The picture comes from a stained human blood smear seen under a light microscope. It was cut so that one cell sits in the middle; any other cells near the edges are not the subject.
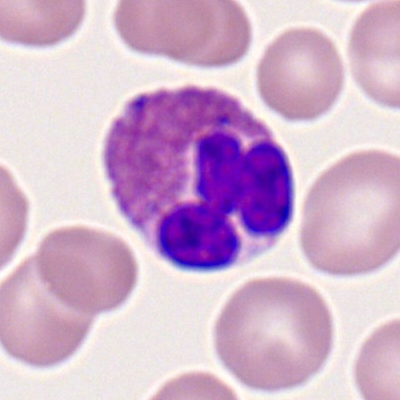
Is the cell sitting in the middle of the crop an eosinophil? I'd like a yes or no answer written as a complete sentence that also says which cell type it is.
Yes, the cell in the middle is recognised as an eosinophil.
